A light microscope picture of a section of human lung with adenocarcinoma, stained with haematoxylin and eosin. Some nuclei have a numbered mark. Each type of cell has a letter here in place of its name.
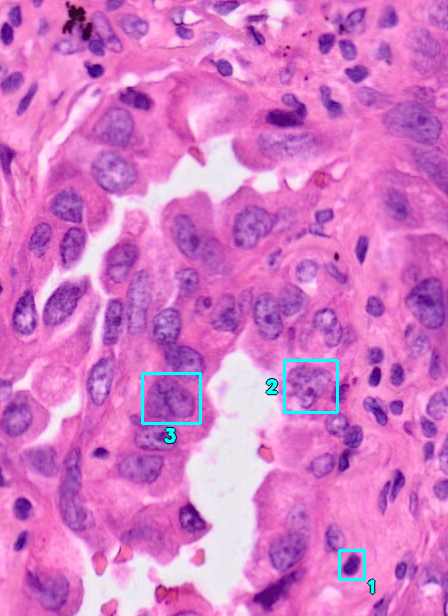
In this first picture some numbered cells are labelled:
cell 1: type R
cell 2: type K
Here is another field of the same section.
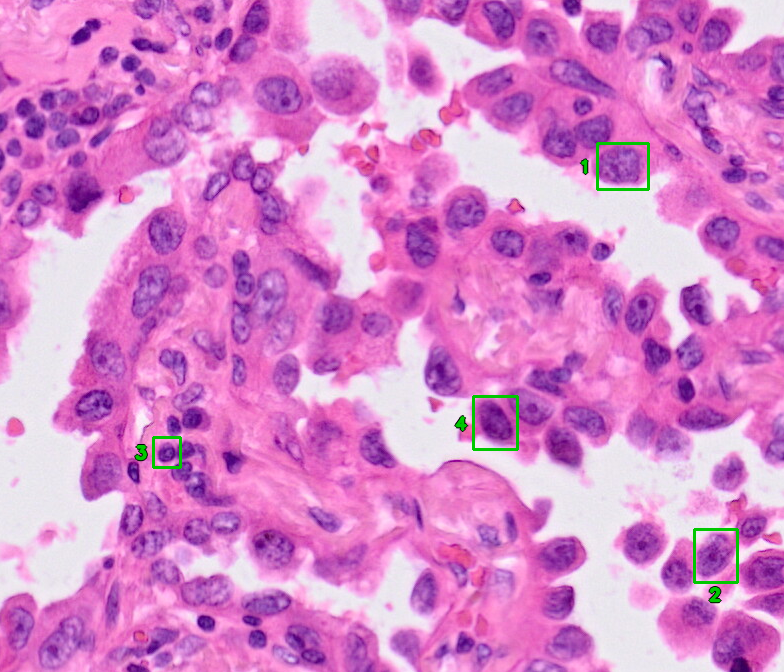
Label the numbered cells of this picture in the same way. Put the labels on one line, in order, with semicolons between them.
type K; type K; type R; type K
